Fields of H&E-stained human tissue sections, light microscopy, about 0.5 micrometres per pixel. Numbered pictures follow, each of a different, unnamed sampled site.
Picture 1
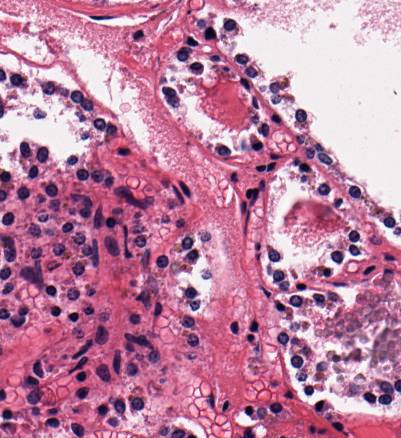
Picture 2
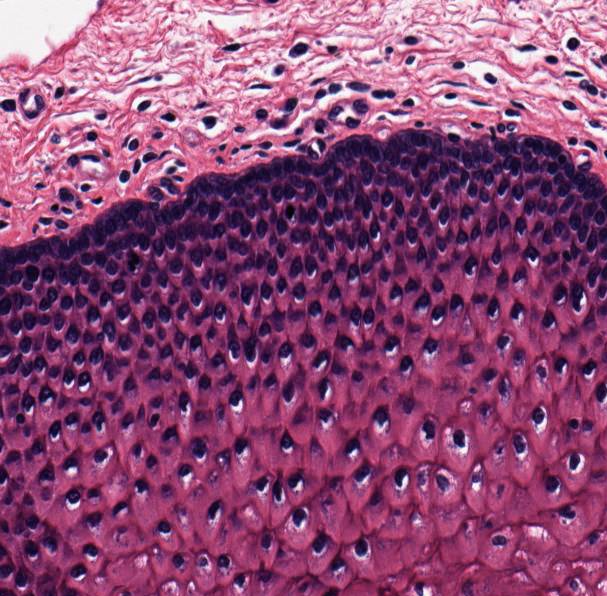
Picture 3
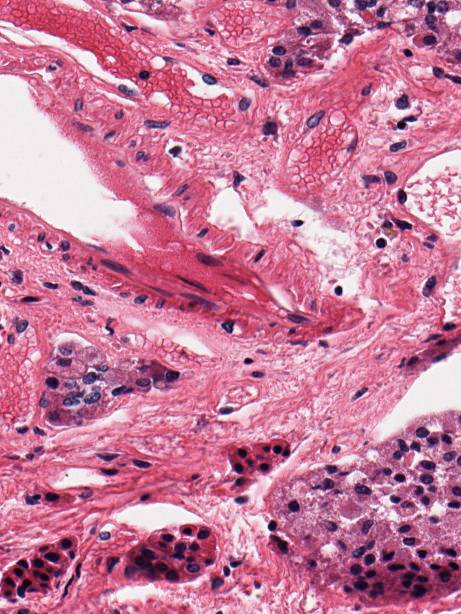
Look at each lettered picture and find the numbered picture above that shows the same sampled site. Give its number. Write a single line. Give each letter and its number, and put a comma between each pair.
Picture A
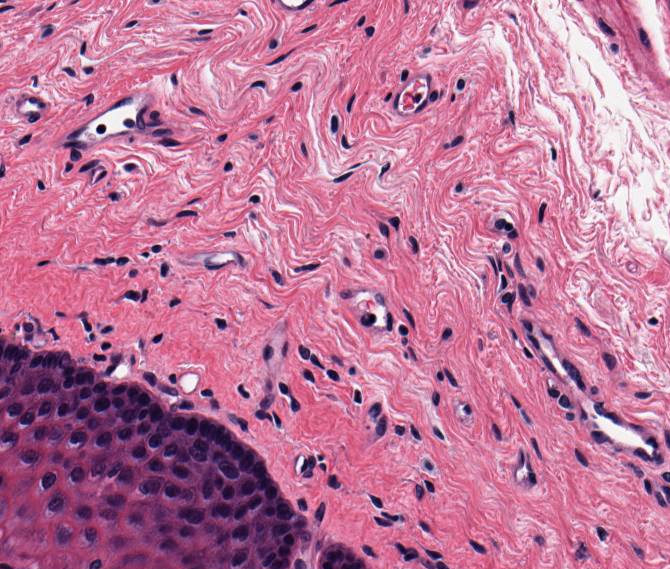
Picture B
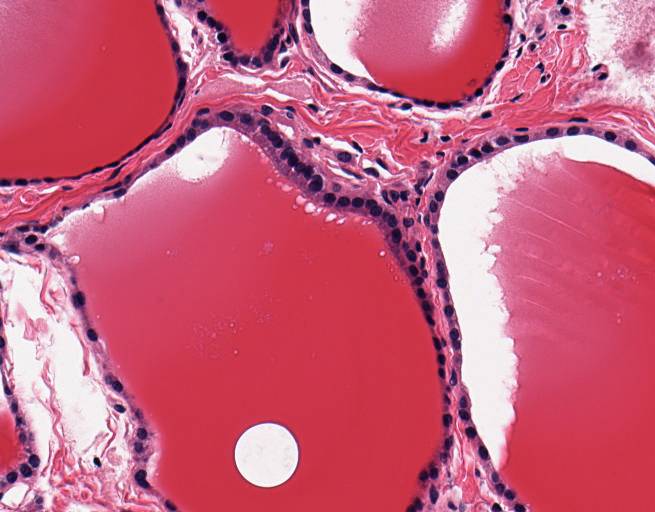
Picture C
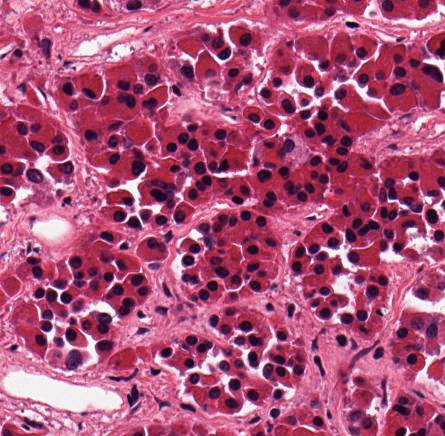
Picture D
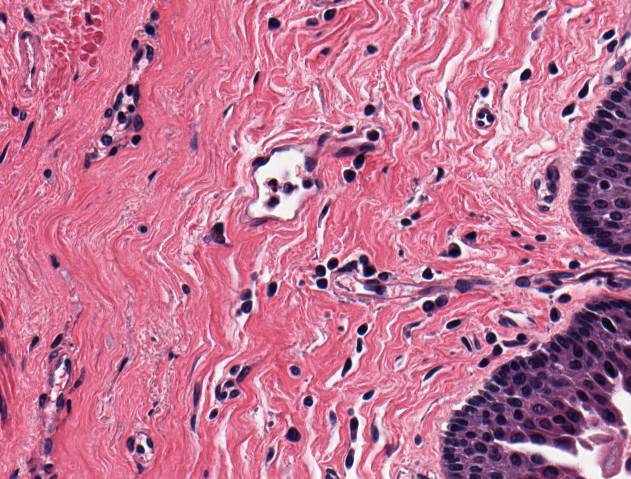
A 2, B 1, C 3, D 2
